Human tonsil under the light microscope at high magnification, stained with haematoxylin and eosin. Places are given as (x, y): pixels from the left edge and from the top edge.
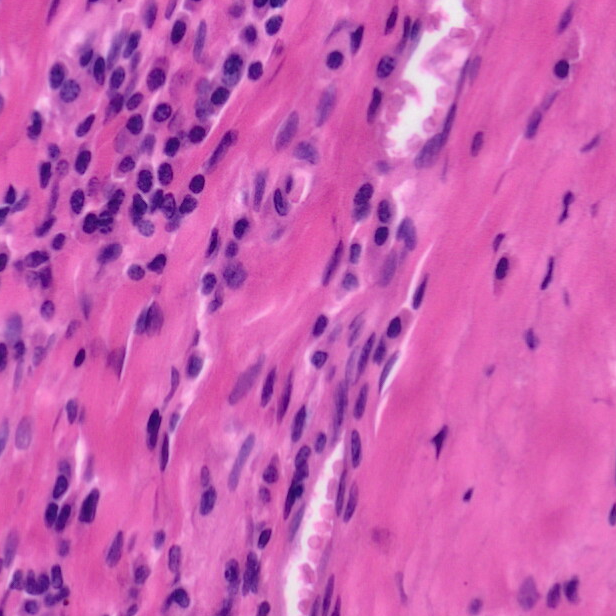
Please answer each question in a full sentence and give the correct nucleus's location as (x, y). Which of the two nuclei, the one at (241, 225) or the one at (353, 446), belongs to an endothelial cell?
The nucleus whose cell is an endothelial cell is the one at (353, 446).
